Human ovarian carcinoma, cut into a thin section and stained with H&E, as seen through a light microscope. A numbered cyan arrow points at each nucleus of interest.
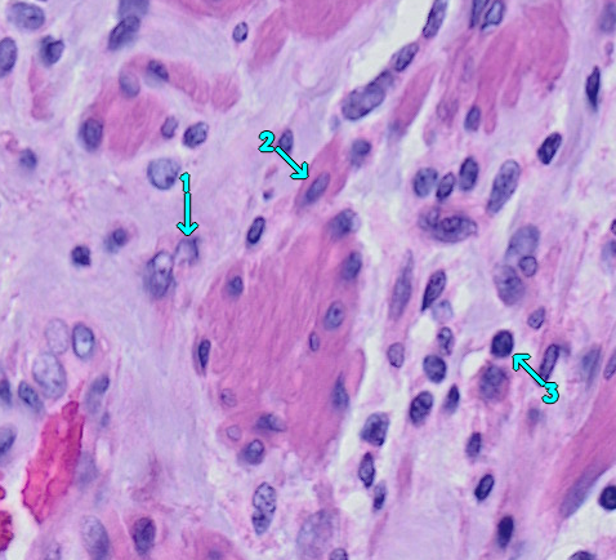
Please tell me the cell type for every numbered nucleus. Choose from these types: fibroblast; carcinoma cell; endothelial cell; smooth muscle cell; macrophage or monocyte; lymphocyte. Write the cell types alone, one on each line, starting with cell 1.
endothelial cell
smooth muscle cell
lymphocyte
